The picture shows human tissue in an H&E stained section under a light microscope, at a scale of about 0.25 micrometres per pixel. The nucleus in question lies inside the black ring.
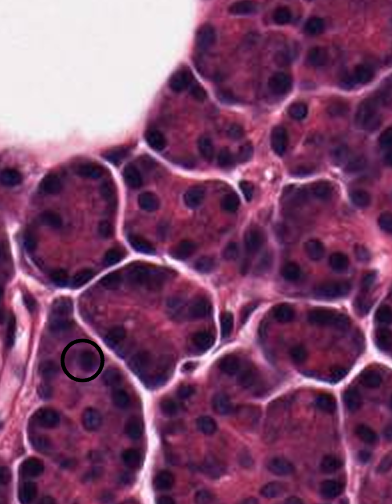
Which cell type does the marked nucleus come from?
pancreatic acinar cell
